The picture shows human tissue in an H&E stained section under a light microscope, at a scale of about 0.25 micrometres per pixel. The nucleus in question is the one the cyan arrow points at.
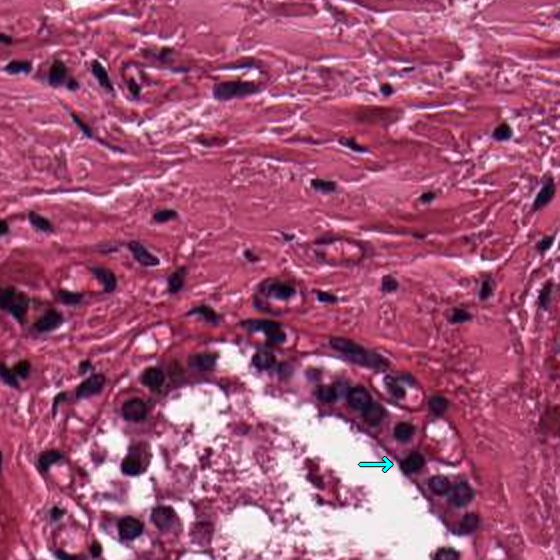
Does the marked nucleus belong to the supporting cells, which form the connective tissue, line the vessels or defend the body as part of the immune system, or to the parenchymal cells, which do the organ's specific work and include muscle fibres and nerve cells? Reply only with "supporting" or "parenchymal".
parenchymal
